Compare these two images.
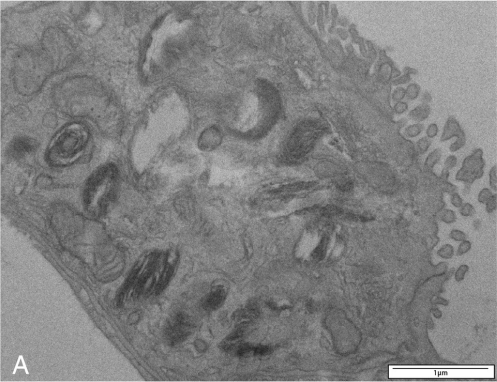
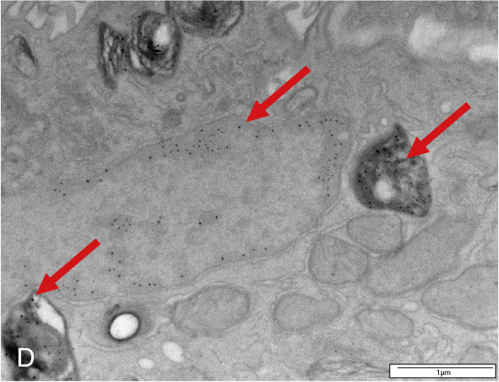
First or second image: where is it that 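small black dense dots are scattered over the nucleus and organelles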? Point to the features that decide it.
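The second image. Second image: many tiny black dots lie over the large granular nucleus and inside dark organelles. First image: the layered organelles and cytoplasm show no such black dots.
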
